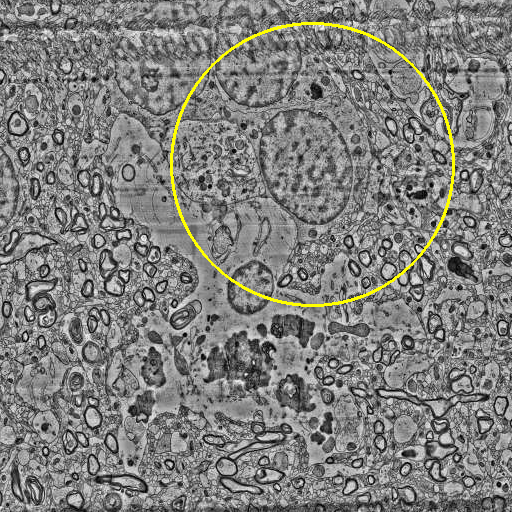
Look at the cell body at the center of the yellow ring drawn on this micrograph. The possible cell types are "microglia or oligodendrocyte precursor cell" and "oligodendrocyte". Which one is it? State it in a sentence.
The cell in the middle of the ring is an oligodendrocyte.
